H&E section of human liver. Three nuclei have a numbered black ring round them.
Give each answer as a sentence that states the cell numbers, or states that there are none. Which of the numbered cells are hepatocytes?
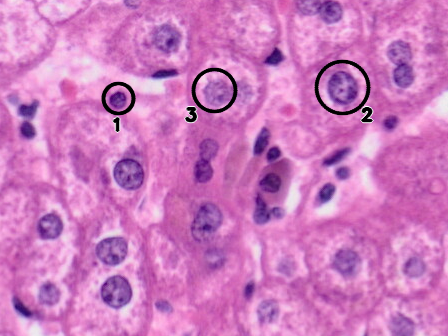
The cells with the numbers 2 and 3 are hepatocytes.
